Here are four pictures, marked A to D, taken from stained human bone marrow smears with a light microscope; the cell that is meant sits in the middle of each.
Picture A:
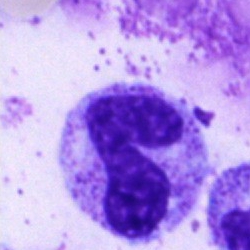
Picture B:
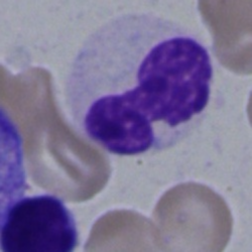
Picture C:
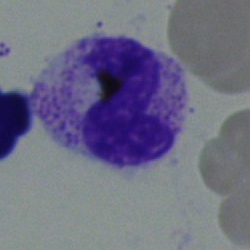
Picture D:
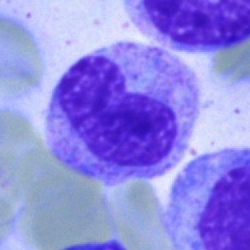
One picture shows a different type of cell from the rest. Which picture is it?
D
